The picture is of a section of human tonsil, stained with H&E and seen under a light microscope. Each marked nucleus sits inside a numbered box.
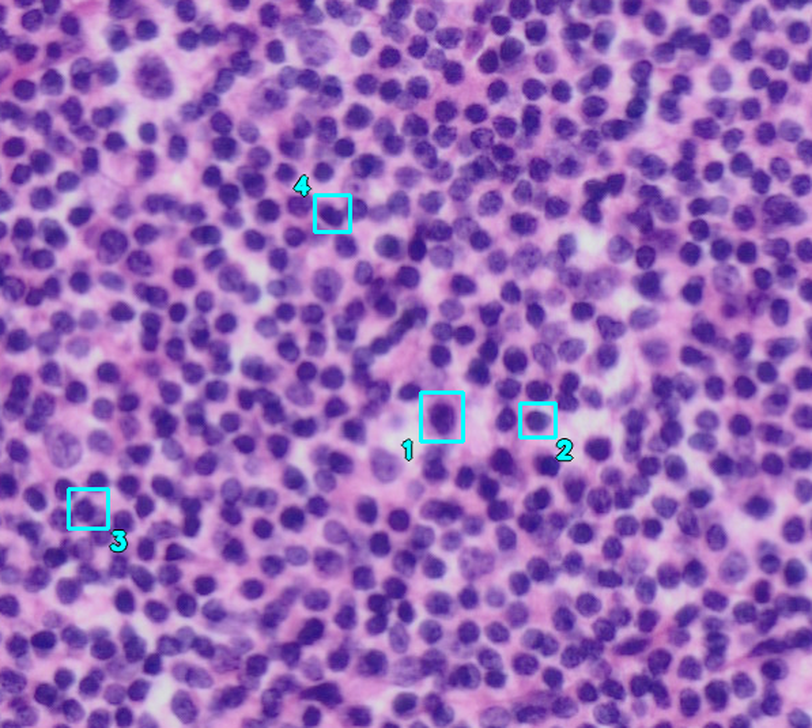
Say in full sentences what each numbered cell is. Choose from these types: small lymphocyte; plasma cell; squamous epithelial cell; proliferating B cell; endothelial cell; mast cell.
Cell 1 is a proliferating B cell, cell 2 is a small lymphocyte, cell 3 is a small lymphocyte and cell 4 is a small lymphocyte.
